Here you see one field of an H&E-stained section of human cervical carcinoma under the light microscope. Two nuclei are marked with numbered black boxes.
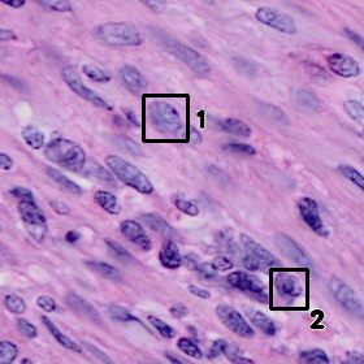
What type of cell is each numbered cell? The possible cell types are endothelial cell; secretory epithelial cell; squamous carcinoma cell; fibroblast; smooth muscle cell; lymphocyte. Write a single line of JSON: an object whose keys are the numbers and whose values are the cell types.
{"1": "smooth muscle cell", "2": "lymphocyte"}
